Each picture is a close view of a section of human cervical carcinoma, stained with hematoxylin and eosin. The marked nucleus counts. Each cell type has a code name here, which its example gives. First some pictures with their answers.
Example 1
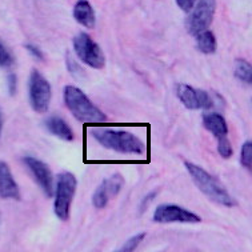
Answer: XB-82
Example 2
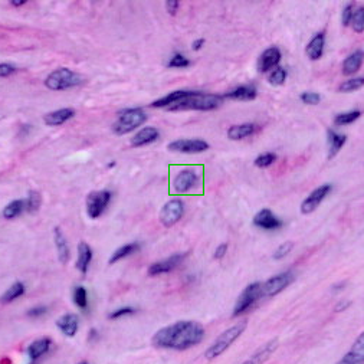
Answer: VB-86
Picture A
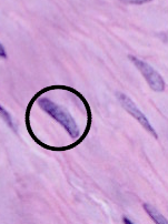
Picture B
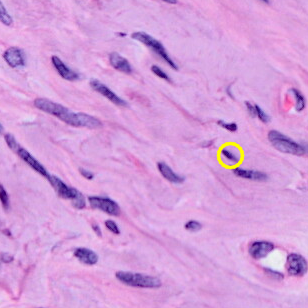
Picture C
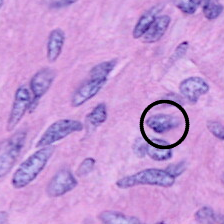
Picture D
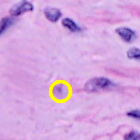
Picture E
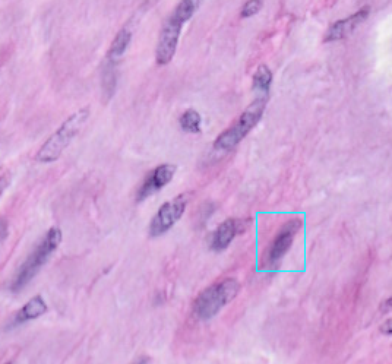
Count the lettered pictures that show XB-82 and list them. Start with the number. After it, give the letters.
2: A, B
